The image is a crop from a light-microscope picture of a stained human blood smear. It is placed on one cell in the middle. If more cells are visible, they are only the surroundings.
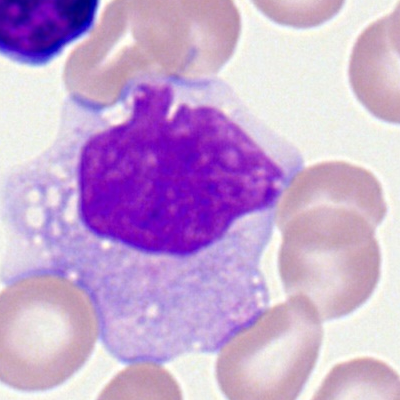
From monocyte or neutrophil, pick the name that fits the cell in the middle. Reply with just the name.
monocyte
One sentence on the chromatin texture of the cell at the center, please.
The chromatin shows a fine pattern without coarse clumps.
